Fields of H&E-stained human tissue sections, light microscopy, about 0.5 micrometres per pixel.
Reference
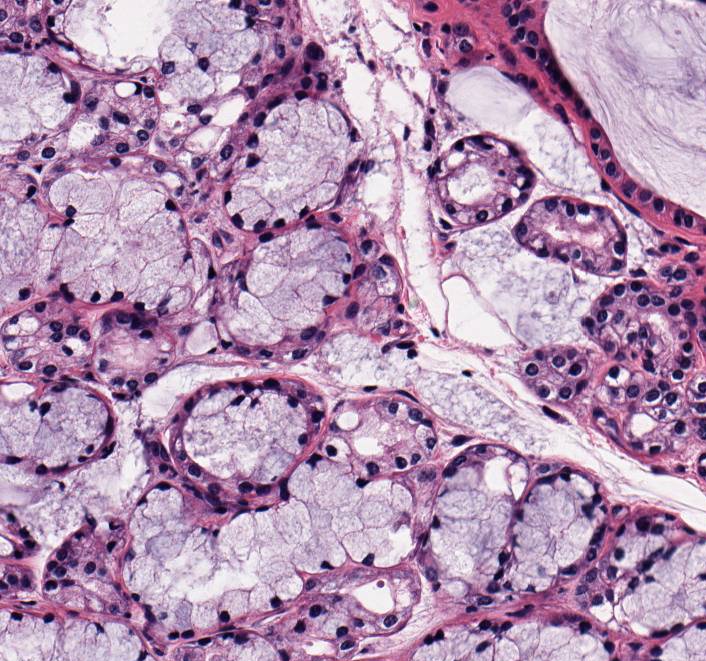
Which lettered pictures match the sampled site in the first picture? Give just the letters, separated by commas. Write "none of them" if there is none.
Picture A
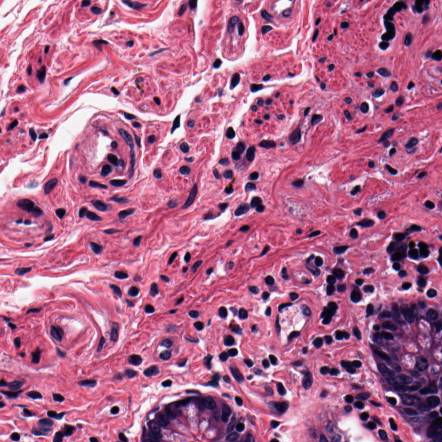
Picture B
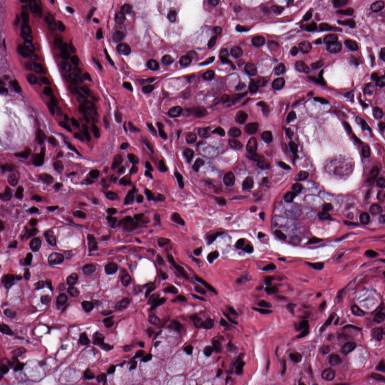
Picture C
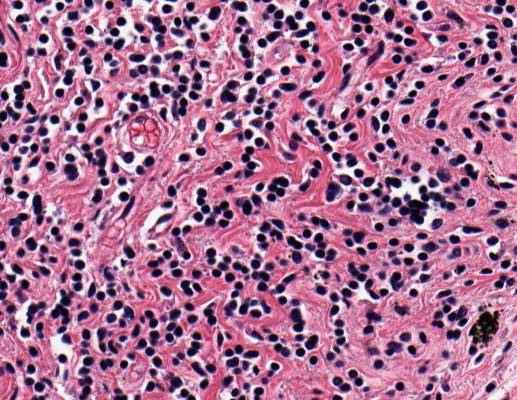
B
